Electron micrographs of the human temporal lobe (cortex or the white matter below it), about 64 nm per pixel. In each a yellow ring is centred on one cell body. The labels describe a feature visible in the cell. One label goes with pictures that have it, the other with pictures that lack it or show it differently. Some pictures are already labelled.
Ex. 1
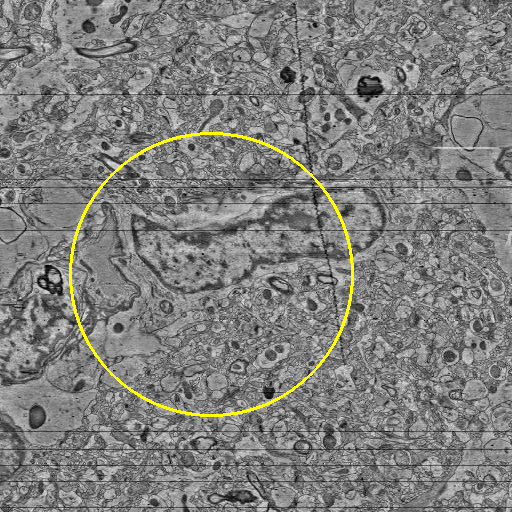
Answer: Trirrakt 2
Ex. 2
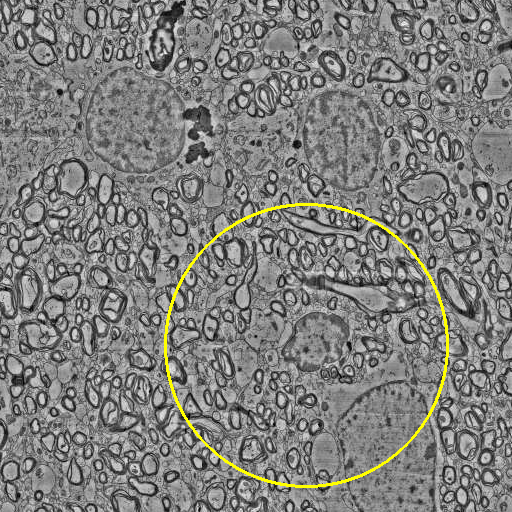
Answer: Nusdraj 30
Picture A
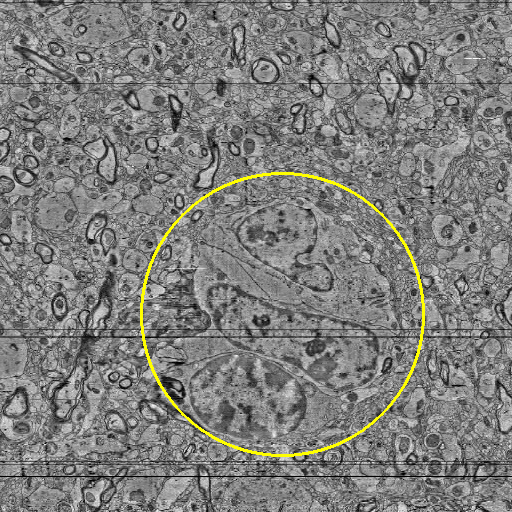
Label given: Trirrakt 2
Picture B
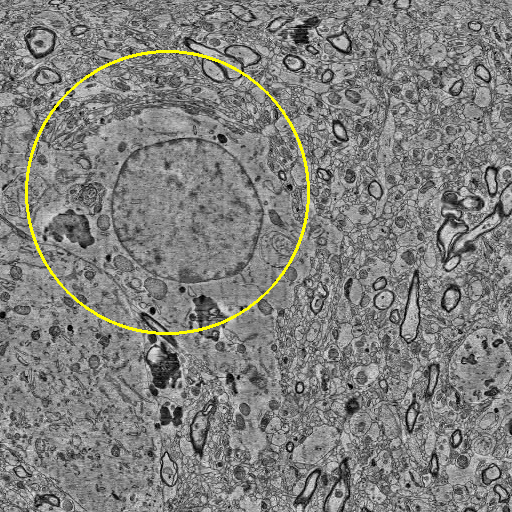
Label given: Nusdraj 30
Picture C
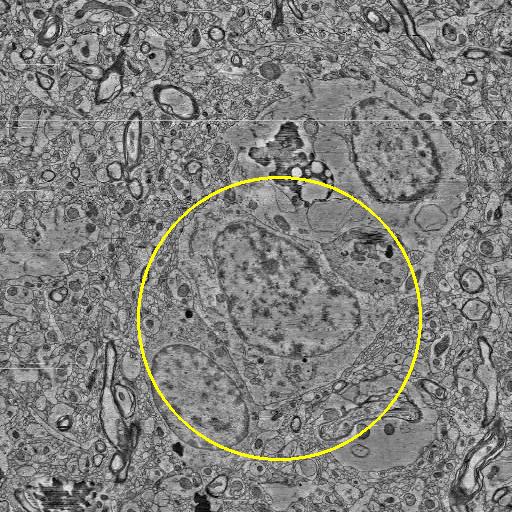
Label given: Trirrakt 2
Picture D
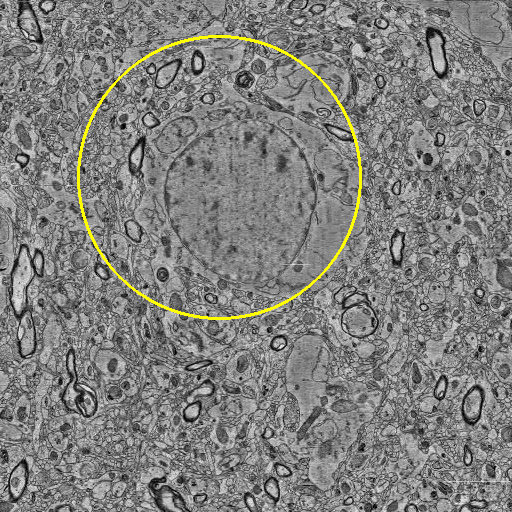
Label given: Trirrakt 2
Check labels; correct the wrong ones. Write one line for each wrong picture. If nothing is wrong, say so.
Wrong: D (Trirrakt 2); correct: Nusdraj 30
